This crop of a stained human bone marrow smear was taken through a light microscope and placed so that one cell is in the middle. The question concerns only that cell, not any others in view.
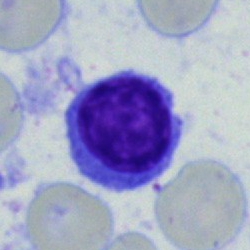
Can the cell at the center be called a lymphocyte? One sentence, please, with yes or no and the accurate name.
Yes, this crop has a lymphocyte at its centre.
